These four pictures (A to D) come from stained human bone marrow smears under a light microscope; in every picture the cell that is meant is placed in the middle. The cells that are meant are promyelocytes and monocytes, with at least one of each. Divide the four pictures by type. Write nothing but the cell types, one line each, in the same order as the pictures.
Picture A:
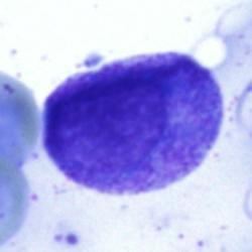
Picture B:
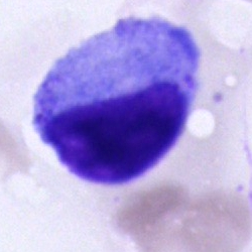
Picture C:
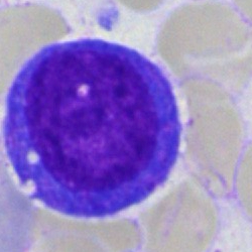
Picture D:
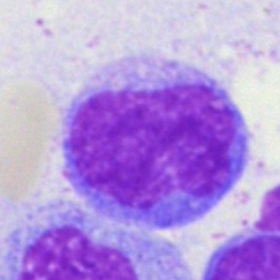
promyelocyte
promyelocyte
promyelocyte
monocyte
